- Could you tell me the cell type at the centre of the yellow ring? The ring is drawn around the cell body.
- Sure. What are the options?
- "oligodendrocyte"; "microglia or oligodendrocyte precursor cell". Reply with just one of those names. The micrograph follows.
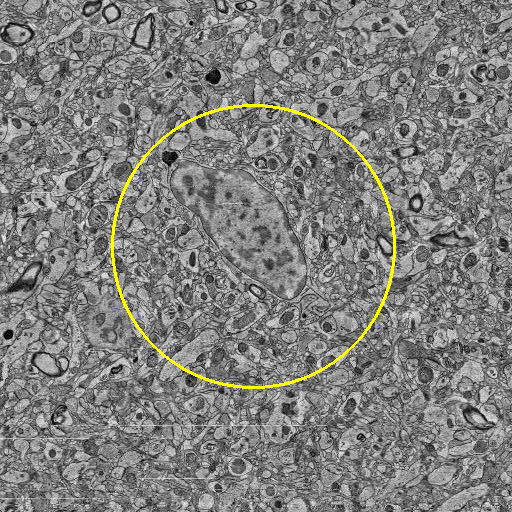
microglia or oligodendrocyte precursor cell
